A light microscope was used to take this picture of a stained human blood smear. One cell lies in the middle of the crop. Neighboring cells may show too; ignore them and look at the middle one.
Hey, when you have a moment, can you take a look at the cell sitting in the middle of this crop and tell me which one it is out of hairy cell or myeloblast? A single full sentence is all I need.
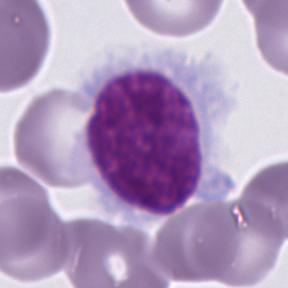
By type, the central cell of the crop is a hairy cell.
